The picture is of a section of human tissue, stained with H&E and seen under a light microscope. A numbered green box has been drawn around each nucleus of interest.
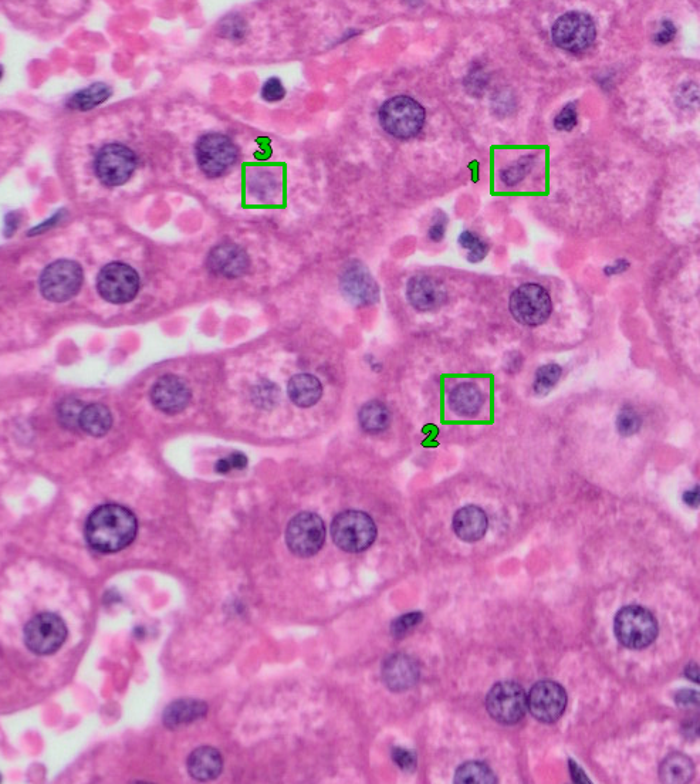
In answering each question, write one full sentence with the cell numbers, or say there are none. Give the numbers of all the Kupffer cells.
Of the numbered cells, only cell 1 is a Kupffer cell.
